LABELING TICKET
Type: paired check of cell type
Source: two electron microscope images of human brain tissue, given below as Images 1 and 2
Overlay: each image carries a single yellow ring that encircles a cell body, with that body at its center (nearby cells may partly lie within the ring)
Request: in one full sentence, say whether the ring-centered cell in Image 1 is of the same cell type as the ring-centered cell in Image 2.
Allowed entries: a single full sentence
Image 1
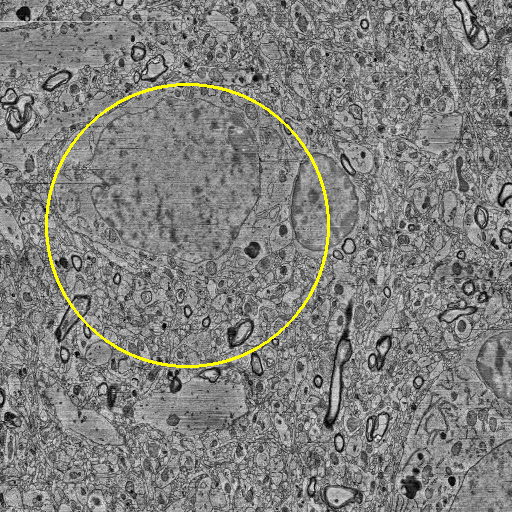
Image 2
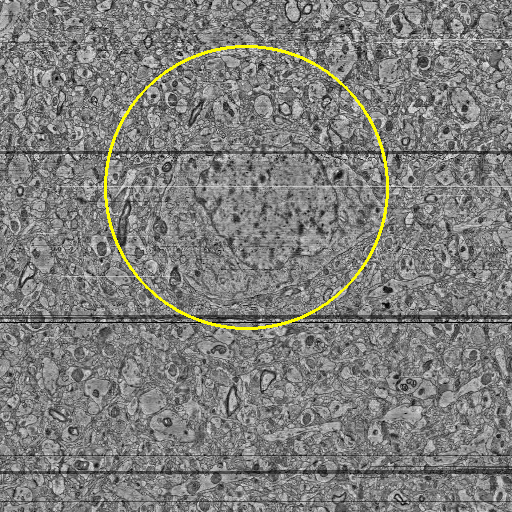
Yes, the cells centered in the rings of Image 1 and Image 2 share one type.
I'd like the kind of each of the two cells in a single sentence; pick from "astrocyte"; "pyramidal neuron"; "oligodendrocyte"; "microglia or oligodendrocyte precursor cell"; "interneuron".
In the first picture and in the second, the ring is centred on an interneuron.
